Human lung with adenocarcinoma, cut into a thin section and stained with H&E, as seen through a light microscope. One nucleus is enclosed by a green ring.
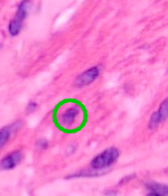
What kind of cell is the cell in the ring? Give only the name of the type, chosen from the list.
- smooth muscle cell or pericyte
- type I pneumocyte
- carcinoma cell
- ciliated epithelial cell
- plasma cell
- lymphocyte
smooth muscle cell or pericyte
